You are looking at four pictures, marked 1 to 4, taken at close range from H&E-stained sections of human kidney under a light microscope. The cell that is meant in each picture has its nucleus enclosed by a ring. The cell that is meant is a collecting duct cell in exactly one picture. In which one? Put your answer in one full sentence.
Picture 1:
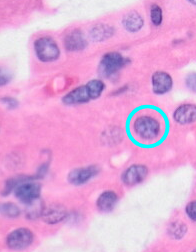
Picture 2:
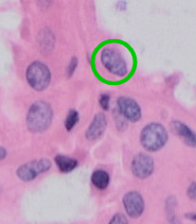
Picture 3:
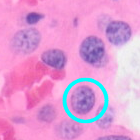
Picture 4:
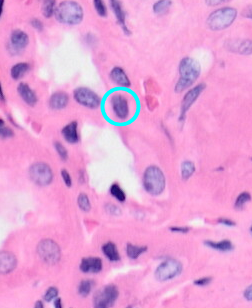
The collecting duct cell is the one in picture 4.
